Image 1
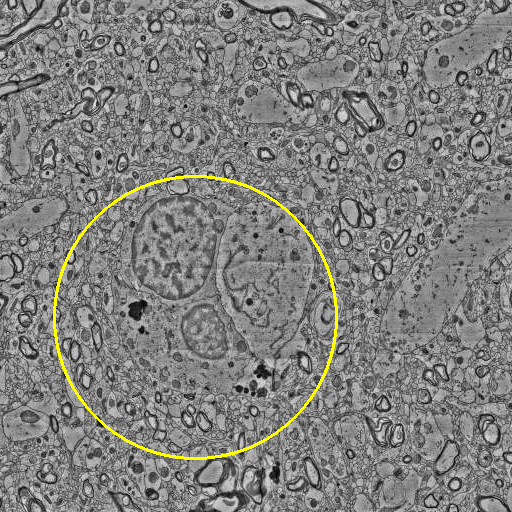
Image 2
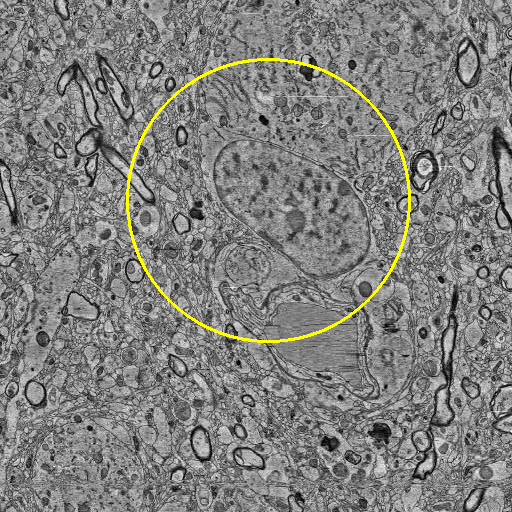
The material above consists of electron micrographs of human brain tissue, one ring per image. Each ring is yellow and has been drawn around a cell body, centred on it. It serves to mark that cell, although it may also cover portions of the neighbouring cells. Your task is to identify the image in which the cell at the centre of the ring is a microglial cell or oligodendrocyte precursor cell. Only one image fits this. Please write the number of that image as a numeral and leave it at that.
2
